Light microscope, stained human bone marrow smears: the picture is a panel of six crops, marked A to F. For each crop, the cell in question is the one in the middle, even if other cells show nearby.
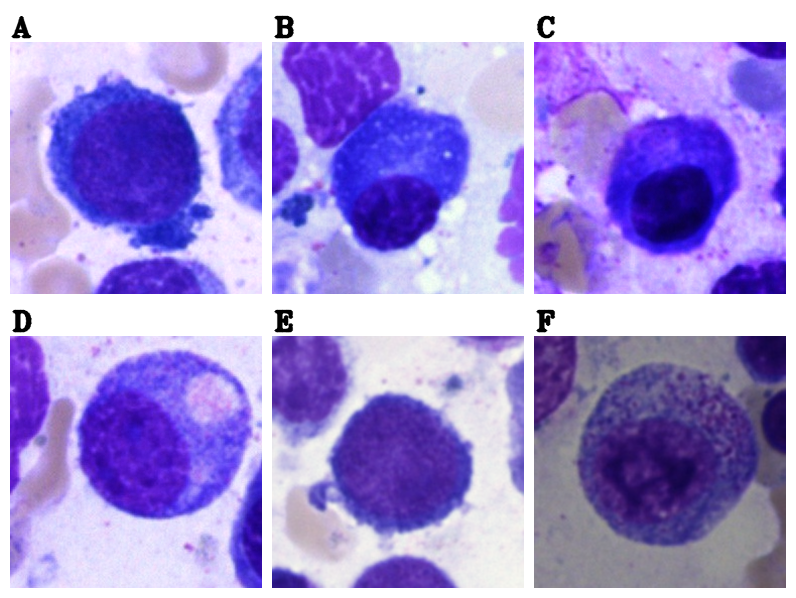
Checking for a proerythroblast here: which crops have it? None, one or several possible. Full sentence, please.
The cells in the middle of crops A and E are proerythroblasts.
